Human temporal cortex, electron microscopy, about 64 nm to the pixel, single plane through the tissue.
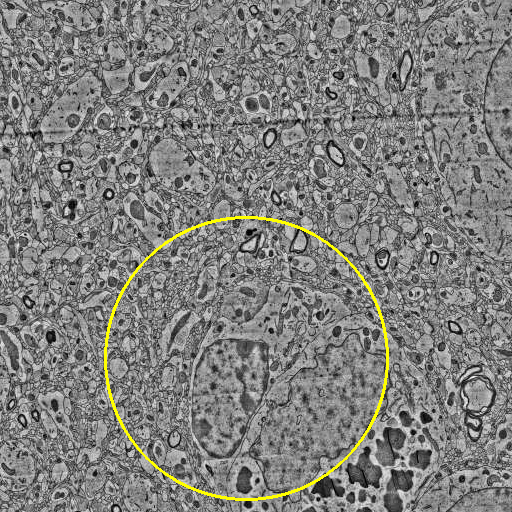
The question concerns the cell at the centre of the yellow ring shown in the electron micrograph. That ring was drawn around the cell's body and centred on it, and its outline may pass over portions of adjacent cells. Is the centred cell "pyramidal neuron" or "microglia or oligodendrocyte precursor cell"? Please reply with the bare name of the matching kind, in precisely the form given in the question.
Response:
microglia or oligodendrocyte precursor cell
